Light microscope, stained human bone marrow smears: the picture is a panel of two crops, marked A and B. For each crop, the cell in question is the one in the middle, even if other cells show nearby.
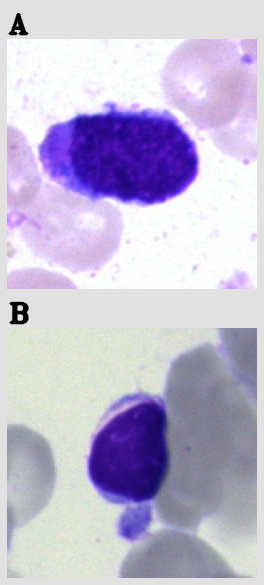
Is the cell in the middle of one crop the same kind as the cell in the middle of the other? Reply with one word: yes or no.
no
